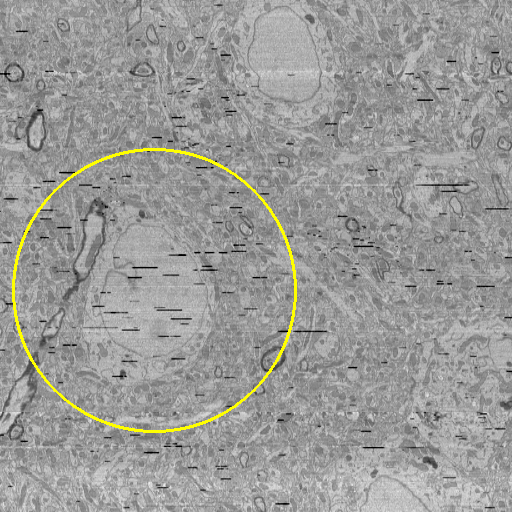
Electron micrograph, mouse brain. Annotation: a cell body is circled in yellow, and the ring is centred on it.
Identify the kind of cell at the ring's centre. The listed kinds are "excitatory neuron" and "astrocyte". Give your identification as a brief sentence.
The circled cell body is that of an excitatory neuron.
